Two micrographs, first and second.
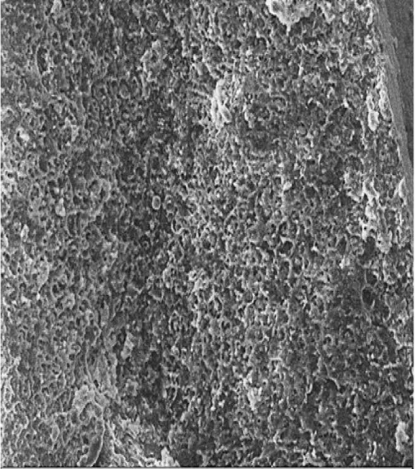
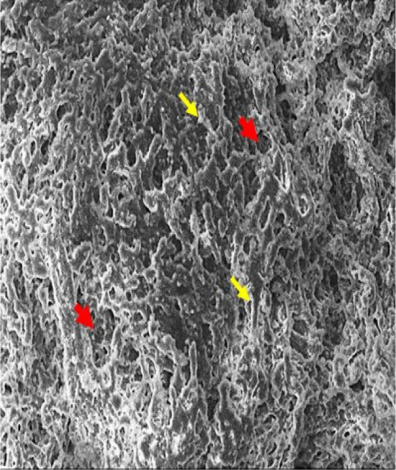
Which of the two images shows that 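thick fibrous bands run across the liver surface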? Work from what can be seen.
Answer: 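Second image: the surface is coarse, with many elongated cord-like strands and irregular gaps. First image: the surface has a fine, fairly even pitted texture without prominent strands. That points to this answer: the second image.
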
